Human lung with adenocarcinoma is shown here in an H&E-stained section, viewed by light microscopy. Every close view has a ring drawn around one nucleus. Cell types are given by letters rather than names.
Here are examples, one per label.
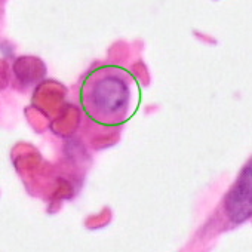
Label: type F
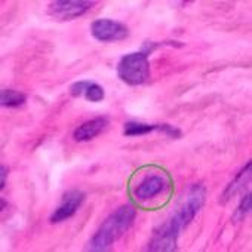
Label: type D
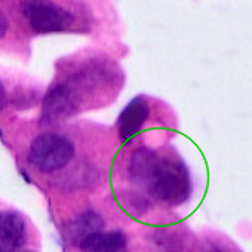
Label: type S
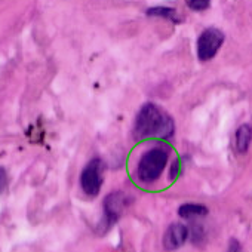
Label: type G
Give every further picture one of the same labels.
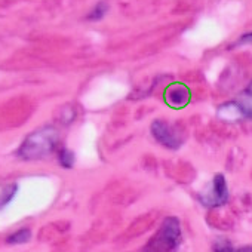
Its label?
type D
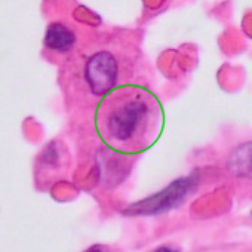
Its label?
type F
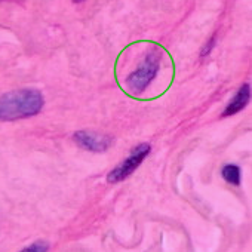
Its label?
type D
